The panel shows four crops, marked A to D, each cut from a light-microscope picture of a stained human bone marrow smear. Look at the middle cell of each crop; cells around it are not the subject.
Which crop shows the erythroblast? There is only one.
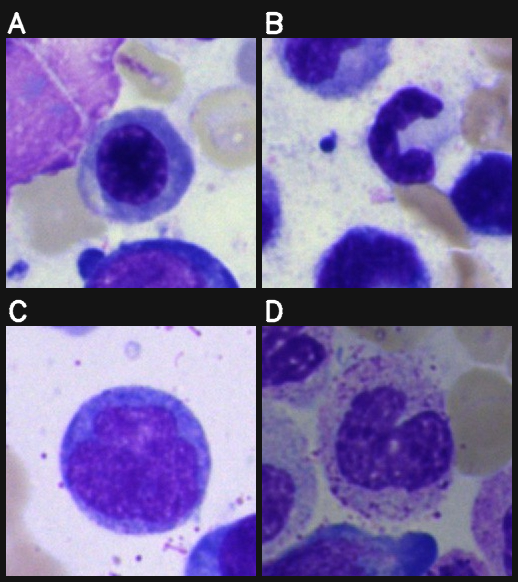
A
